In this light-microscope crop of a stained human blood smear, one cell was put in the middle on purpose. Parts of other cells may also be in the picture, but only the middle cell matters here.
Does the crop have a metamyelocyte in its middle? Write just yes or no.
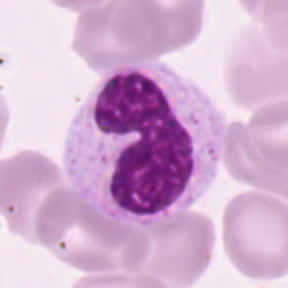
no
